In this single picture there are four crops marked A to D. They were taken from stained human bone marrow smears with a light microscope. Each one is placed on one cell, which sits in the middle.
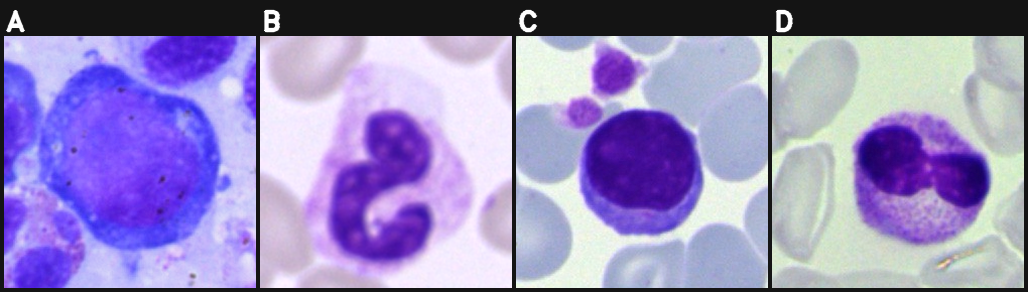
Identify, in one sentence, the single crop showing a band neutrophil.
The crop carrying a band neutrophil at the center is crop B.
